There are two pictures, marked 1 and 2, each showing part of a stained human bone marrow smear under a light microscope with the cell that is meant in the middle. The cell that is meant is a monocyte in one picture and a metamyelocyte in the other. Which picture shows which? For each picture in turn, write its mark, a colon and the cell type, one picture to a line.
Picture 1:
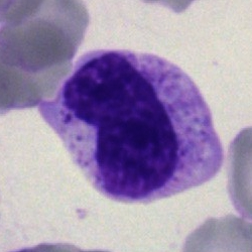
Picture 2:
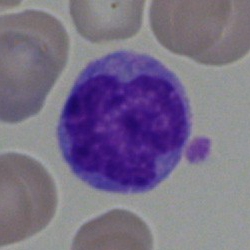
1: metamyelocyte
2: monocyte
